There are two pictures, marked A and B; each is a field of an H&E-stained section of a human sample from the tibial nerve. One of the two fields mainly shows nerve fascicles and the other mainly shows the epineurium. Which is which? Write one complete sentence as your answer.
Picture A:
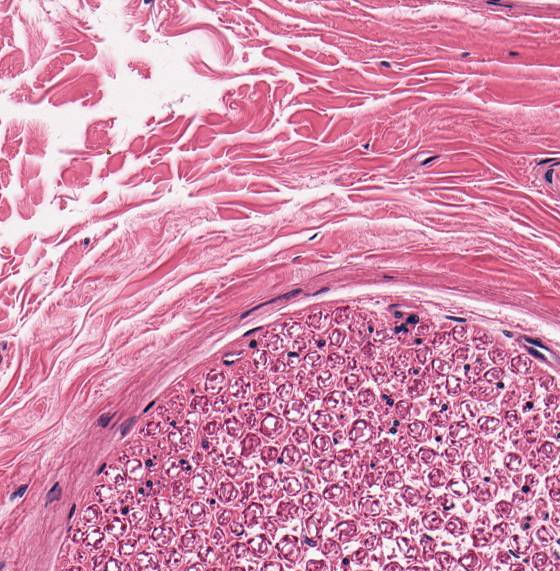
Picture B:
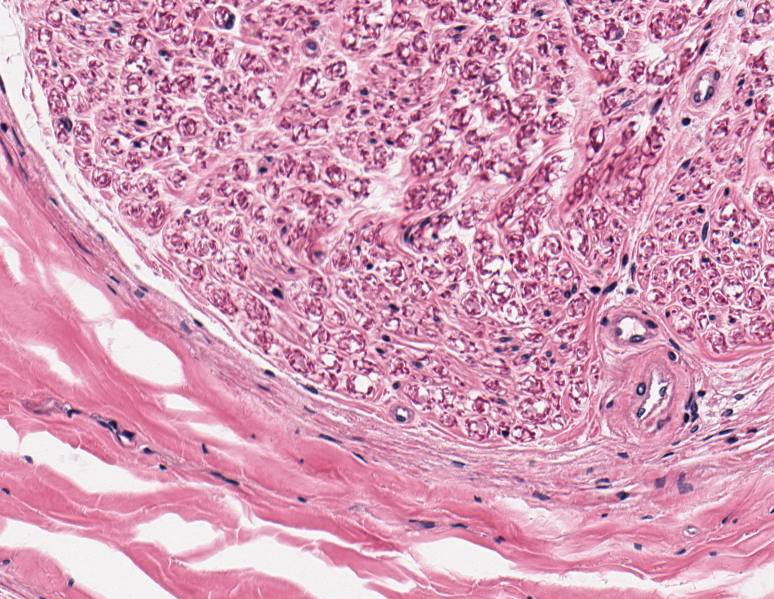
Picture A mainly shows the epineurium and picture B mainly shows nerve fascicles.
